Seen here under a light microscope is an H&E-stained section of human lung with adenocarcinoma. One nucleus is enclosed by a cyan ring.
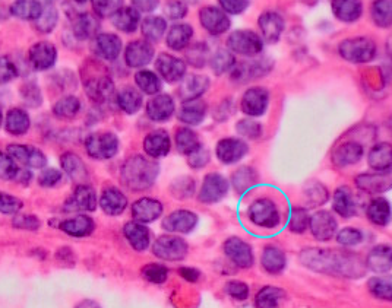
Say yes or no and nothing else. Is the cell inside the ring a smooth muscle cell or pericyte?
no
